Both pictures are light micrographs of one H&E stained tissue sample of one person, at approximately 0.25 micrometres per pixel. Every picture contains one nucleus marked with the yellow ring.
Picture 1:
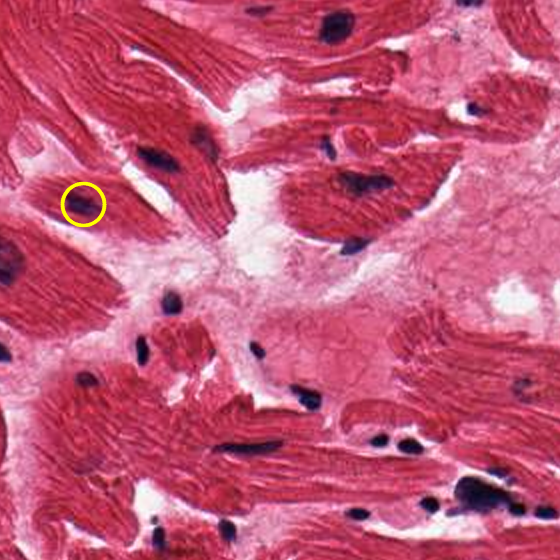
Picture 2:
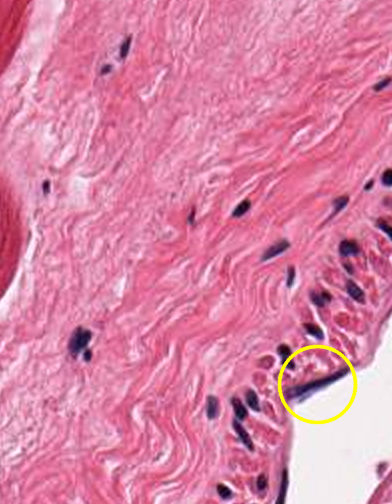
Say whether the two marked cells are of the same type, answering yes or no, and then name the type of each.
No, the first is a cardiomyocyte and the second an endothelial cell.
